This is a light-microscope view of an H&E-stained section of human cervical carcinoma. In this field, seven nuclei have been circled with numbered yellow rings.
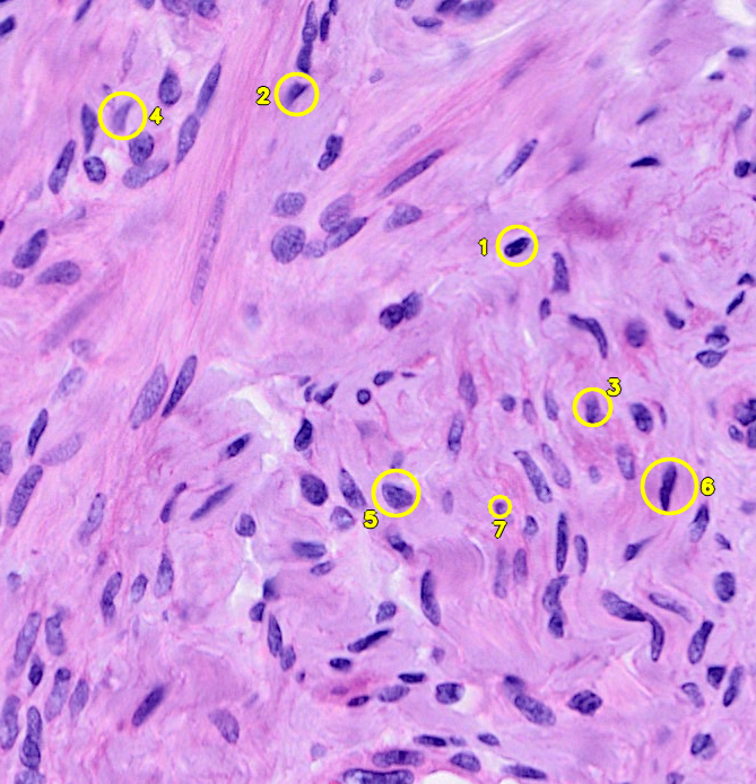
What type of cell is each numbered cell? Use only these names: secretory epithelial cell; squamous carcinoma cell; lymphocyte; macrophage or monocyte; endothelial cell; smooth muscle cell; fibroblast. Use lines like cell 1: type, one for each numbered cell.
cell 1: lymphocyte
cell 2: fibroblast
cell 3: smooth muscle cell
cell 4: fibroblast
cell 5: fibroblast
cell 6: fibroblast
cell 7: smooth muscle cell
